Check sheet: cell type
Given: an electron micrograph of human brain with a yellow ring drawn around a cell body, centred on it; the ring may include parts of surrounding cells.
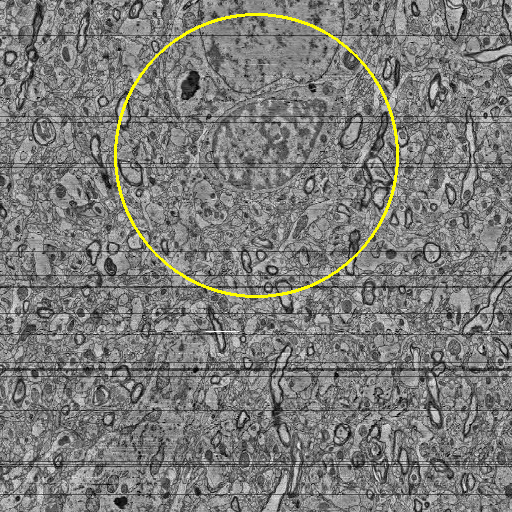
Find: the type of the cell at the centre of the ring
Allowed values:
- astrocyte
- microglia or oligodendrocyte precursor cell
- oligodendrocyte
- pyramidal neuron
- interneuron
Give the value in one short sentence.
Here the ringed cell is an oligodendrocyte.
